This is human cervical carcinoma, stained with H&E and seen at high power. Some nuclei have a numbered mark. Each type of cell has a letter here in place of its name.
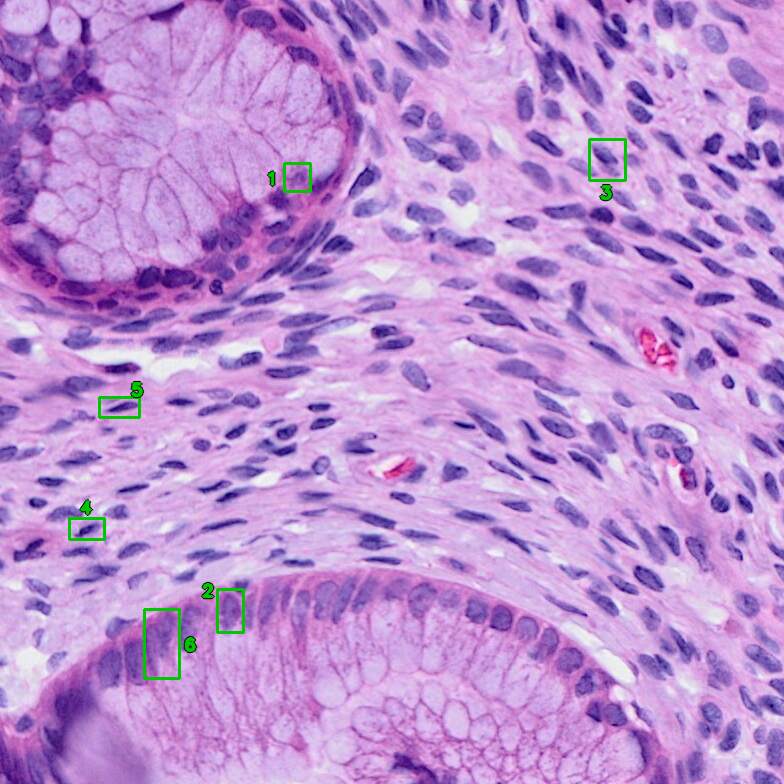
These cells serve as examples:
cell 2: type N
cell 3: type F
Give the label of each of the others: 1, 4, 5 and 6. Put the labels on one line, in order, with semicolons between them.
type N; type F; type F; type N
